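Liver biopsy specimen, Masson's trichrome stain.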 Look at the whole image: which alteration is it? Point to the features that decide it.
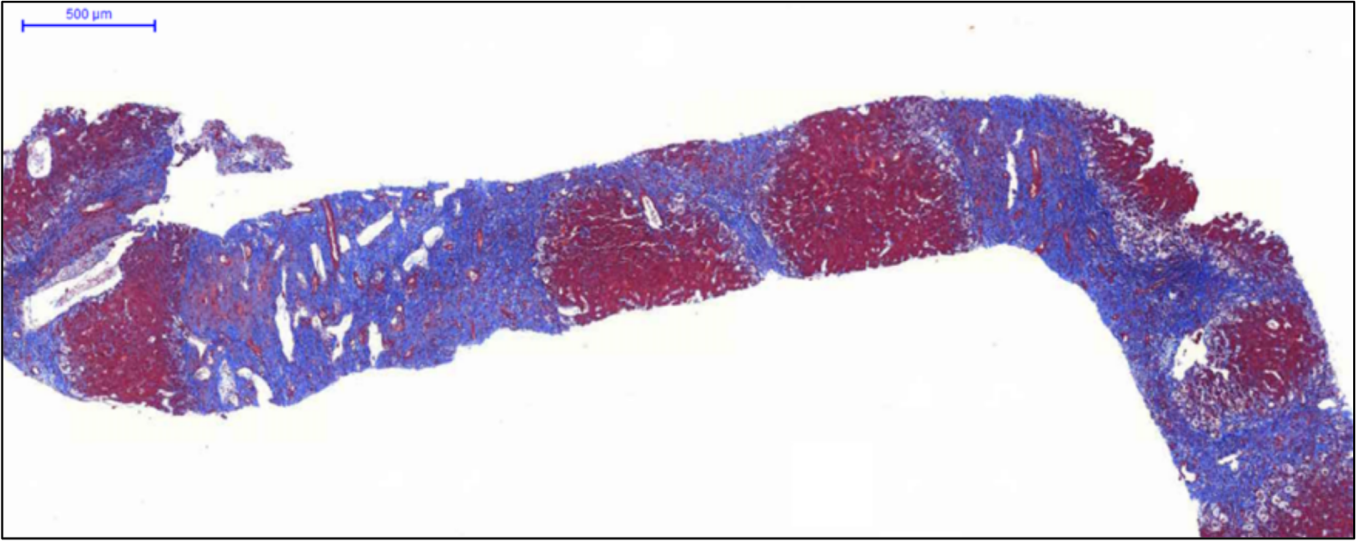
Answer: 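Rounded nodules of red-staining parenchyma. On this evidence: advanced cirrhosis.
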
